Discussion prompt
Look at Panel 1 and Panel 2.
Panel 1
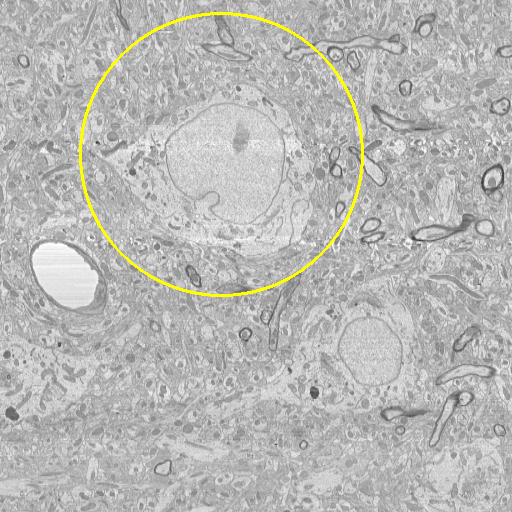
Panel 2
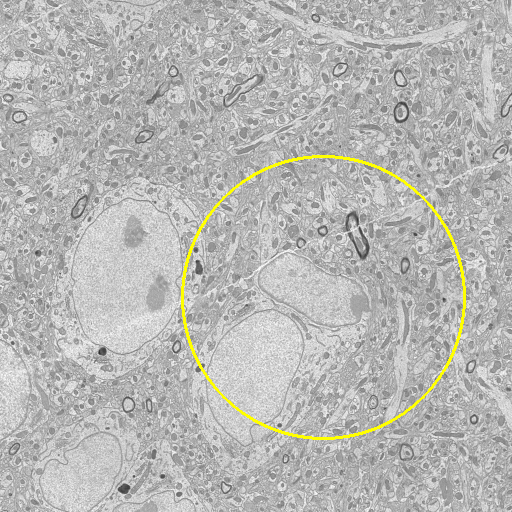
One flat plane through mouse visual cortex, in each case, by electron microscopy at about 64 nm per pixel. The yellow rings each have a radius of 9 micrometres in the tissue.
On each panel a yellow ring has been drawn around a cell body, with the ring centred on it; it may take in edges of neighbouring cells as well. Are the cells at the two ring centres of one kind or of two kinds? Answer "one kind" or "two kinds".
two kinds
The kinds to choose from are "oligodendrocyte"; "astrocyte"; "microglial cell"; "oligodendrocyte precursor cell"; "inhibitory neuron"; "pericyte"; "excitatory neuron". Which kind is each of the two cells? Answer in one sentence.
Of the two, the first cell is an excitatory neuron and the second cell is an oligodendrocyte precursor cell.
